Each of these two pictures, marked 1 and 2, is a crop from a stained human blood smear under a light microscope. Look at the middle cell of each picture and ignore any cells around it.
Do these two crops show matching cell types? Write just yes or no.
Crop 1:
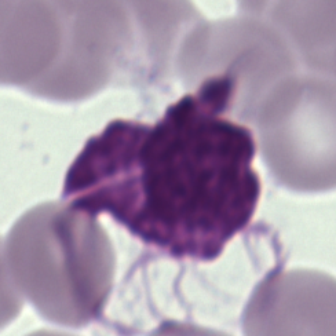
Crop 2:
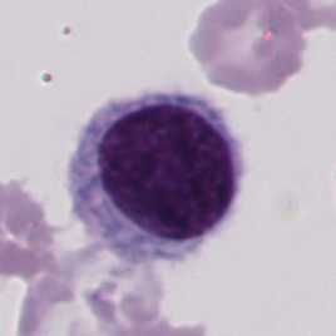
no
